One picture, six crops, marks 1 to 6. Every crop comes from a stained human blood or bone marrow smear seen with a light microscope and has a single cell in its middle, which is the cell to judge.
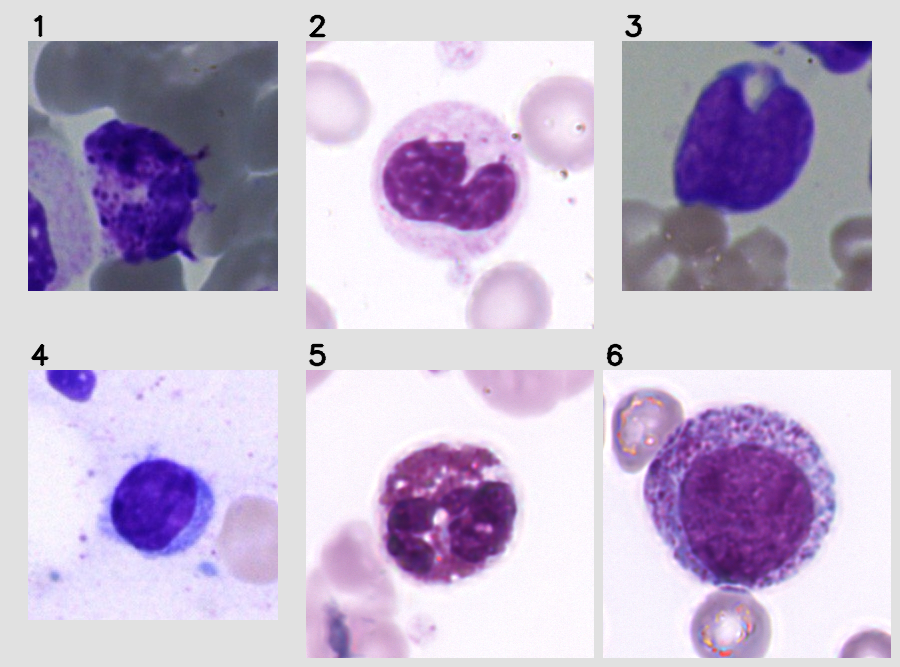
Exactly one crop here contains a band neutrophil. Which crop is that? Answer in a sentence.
The crop with a band neutrophil at its center is crop 2.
